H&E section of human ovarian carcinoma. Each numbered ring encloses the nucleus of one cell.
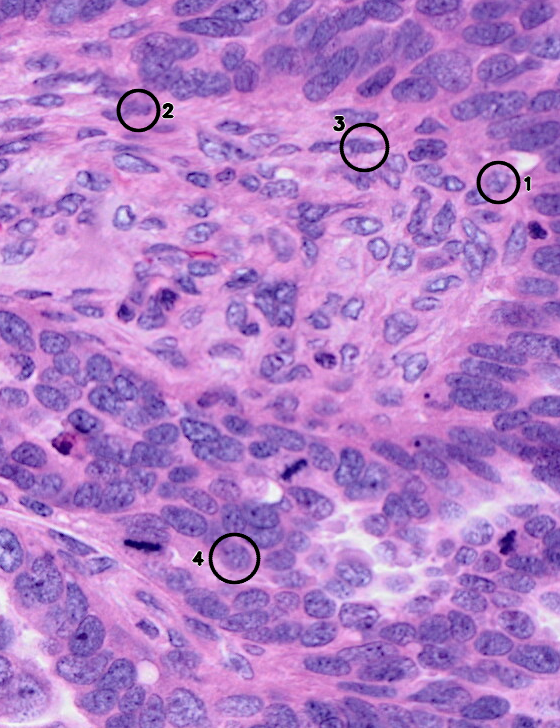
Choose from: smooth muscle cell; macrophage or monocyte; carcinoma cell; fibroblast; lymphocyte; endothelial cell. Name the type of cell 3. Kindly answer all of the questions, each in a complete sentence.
Classified as a fibroblast is the cell with the number 3.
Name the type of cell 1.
Cell 1 should be recorded as a fibroblast.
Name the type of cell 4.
The cell to which the number 4 is assigned is a carcinoma cell.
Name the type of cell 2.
The cell that carries the label 2 is a fibroblast.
